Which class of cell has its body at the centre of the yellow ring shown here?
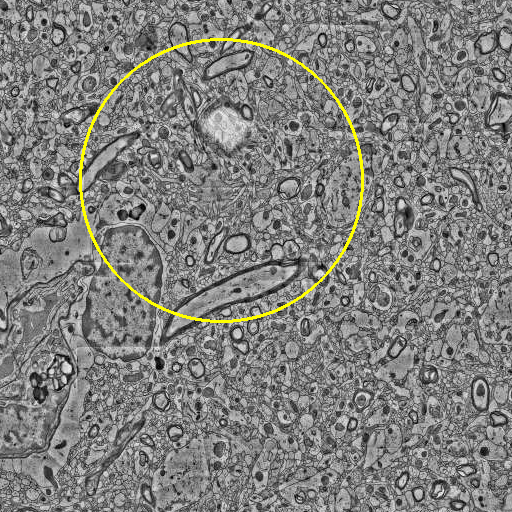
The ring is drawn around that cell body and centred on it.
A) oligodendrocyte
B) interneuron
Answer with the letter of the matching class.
A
